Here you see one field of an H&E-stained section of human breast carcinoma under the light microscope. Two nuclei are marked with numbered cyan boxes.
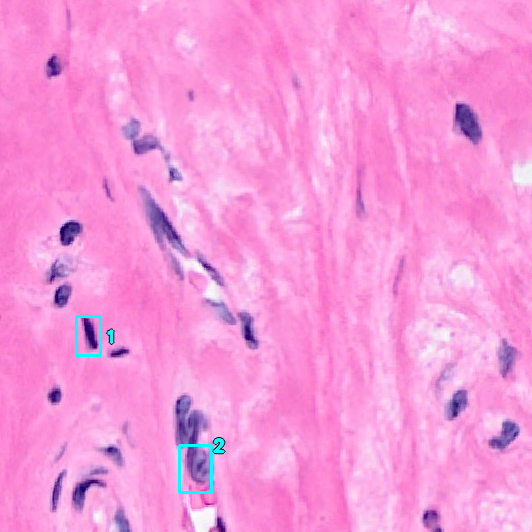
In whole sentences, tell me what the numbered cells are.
Cell 1 is a lymphocyte. Cell 2 is an endothelial cell.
